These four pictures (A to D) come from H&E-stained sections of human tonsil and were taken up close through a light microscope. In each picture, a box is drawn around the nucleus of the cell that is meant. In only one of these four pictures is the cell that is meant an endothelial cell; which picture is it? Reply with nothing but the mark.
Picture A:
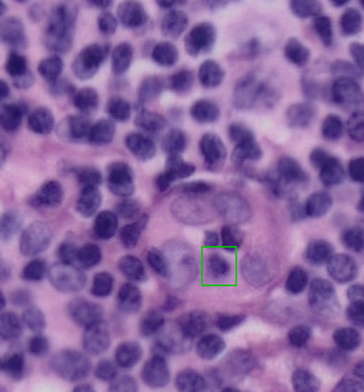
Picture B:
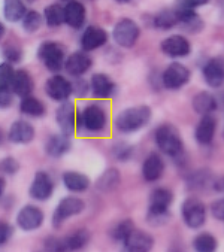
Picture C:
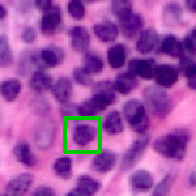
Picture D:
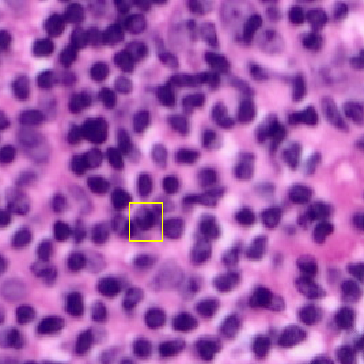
A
